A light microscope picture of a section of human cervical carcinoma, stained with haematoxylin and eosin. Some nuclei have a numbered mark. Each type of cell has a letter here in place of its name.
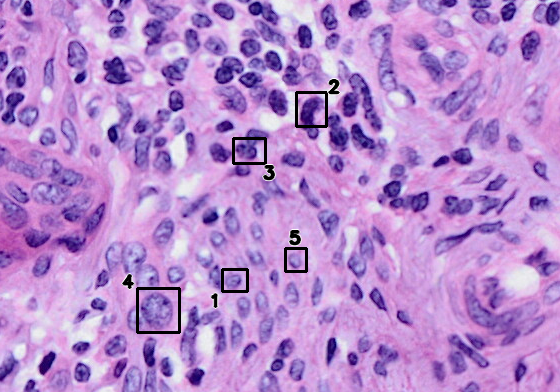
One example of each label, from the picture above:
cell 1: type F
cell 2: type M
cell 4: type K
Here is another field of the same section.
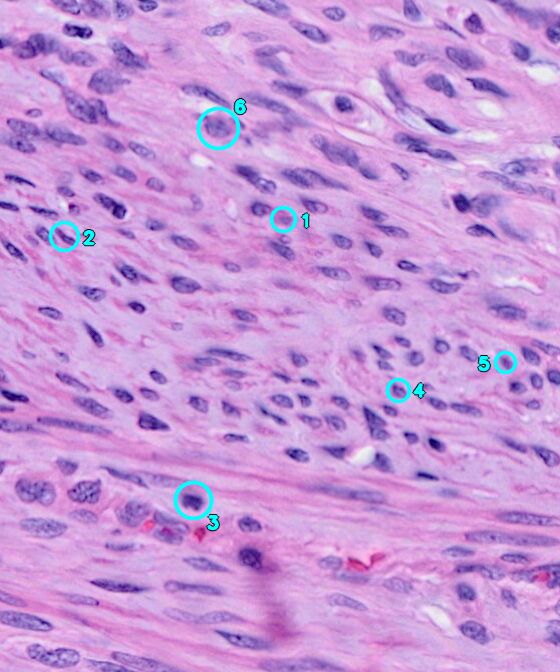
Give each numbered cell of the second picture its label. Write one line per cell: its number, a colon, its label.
1: type F
2: type F
3: type M
4: type F
5: type F
6: type K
